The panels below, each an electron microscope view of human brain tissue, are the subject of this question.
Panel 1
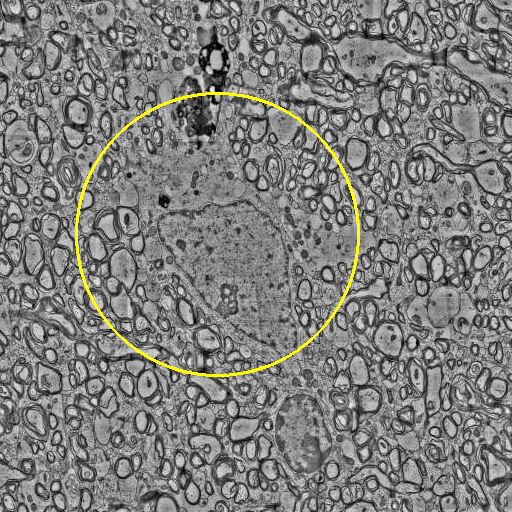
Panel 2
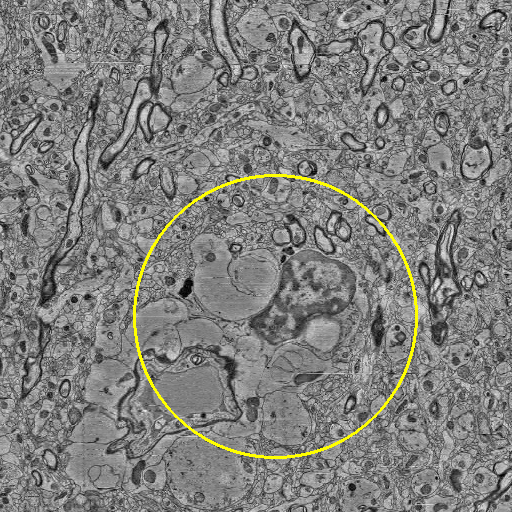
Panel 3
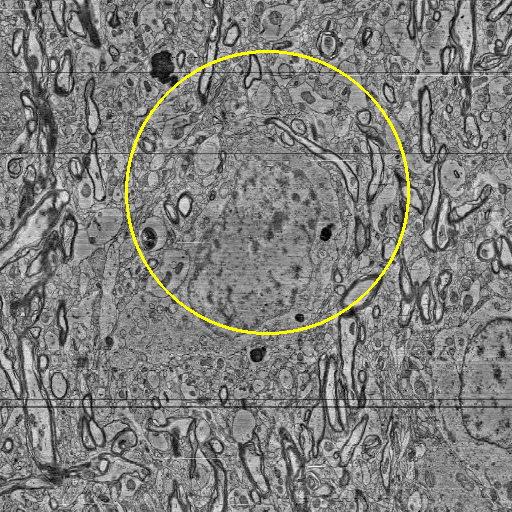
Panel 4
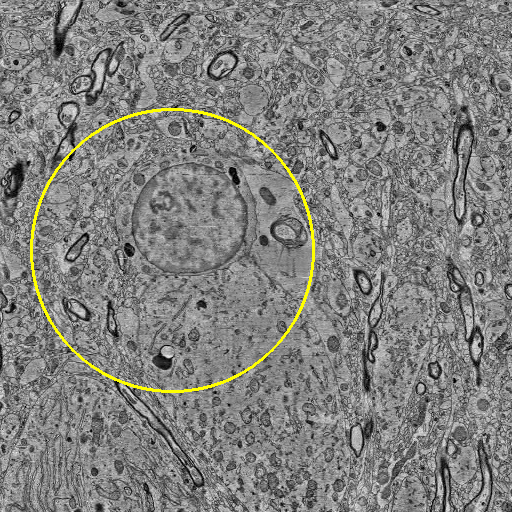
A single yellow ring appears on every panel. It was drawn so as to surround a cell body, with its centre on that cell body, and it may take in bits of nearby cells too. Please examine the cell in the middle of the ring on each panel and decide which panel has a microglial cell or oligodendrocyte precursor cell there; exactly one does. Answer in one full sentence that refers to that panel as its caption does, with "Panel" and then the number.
Panel 2 is where the ring's central cell answers the question.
